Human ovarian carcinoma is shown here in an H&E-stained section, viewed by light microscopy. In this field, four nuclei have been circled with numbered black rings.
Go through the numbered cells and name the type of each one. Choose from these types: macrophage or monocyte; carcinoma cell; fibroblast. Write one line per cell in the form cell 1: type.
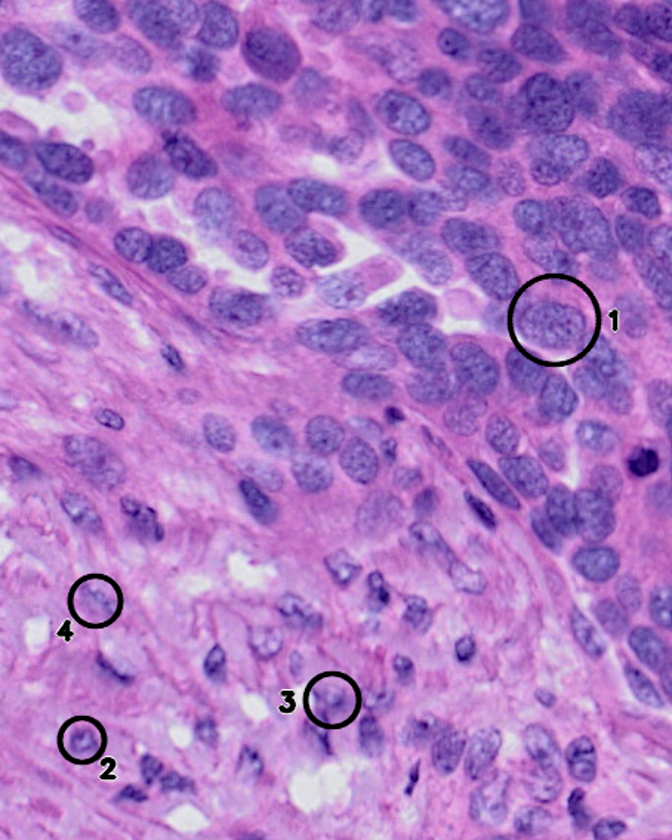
cell 1: carcinoma cell
cell 2: fibroblast
cell 3: fibroblast
cell 4: fibroblast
